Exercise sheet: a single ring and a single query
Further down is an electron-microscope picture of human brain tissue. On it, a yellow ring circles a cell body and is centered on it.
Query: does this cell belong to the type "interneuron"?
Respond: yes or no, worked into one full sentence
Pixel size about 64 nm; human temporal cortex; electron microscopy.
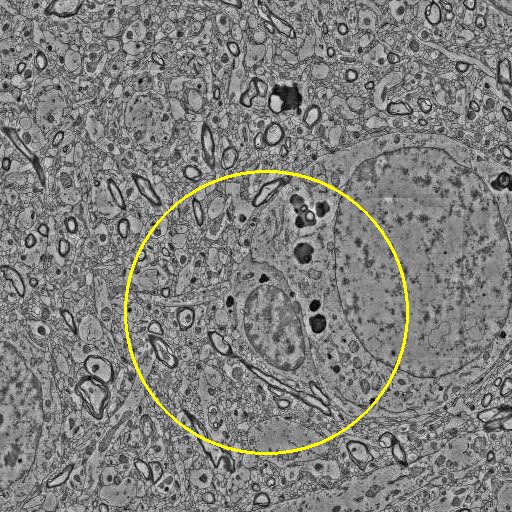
No, this ringed cell, found at the center of the ring in the picture, is of a different type.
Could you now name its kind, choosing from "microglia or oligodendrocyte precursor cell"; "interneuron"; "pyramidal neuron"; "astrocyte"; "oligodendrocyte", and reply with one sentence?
That cell in the ring is an oligodendrocyte instead.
